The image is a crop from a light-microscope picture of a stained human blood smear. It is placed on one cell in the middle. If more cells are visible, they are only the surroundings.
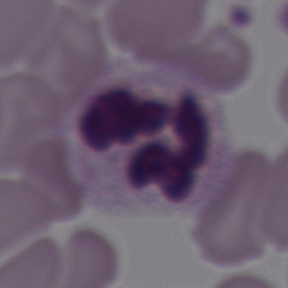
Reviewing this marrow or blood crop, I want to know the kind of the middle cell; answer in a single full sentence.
To answer, the cell in the center of the crop is a segmented neutrophil.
